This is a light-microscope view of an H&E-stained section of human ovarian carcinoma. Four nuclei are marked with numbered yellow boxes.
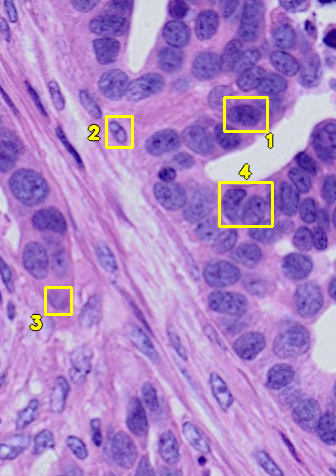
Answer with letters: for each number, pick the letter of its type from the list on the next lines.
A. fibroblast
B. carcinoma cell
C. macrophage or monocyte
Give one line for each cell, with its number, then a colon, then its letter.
1: B
2: A
3: A
4: B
